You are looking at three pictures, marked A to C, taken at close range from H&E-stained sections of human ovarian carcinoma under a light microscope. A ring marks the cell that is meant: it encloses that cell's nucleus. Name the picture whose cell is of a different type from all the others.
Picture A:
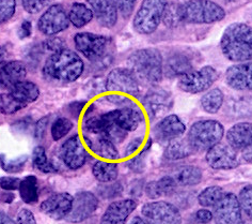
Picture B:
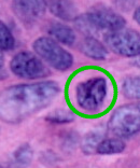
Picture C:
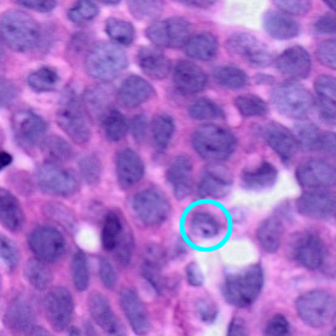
A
